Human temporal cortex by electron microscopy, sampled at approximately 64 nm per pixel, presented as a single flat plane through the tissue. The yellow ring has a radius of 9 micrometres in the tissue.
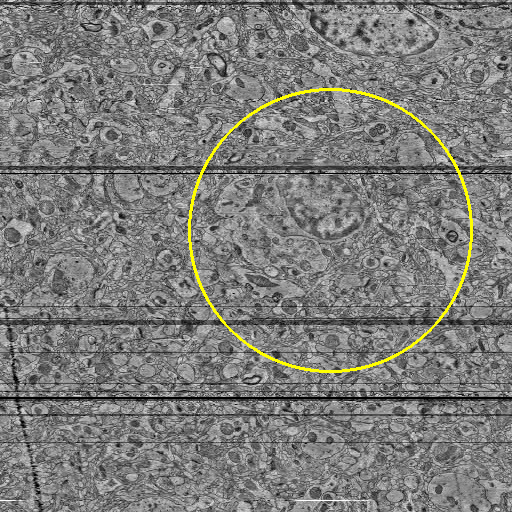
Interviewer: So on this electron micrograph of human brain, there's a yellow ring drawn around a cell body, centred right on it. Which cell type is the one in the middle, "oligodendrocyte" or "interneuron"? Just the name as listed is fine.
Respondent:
oligodendrocyte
